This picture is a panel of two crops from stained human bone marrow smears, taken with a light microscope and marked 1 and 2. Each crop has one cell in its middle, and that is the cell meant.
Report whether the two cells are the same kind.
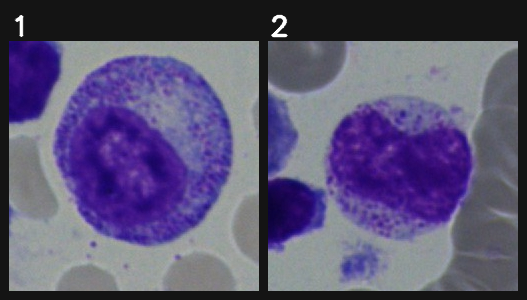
no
